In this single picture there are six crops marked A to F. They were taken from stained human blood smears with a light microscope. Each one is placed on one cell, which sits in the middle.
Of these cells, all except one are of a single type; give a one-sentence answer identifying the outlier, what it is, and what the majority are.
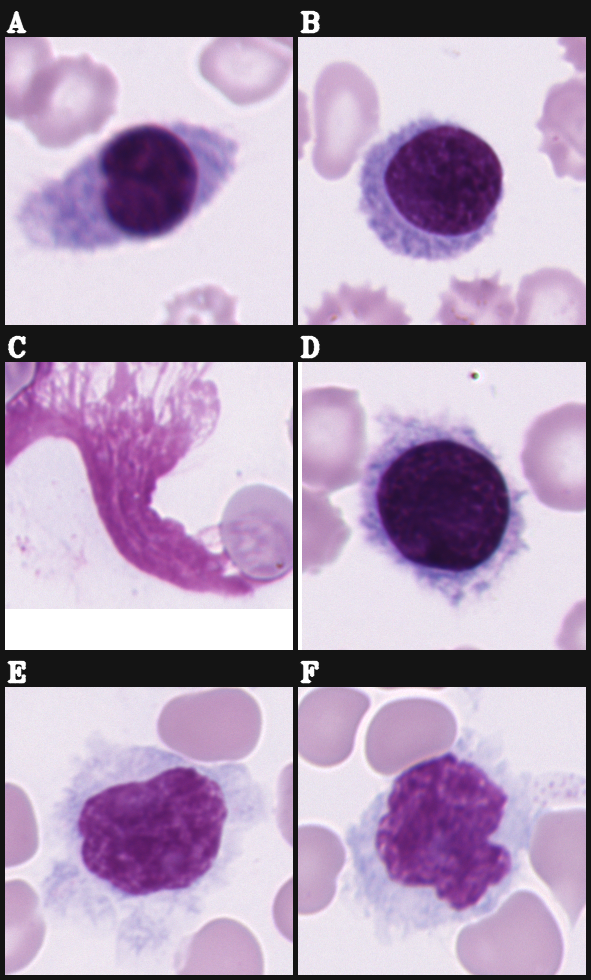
All crops show hairy cells except crop C, which is a smudge cell.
